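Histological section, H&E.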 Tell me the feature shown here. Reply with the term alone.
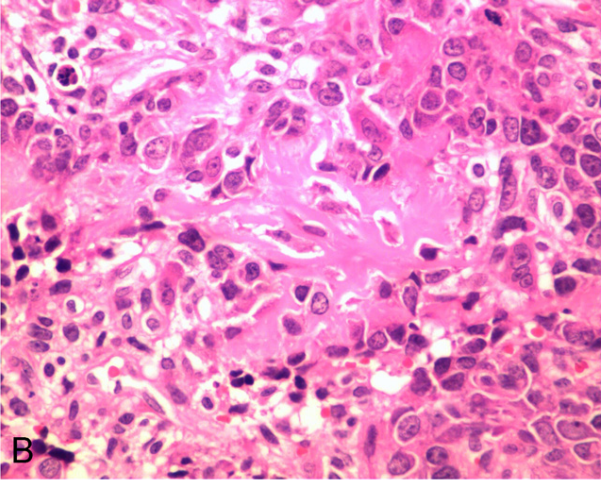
Neoplastic osteoid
